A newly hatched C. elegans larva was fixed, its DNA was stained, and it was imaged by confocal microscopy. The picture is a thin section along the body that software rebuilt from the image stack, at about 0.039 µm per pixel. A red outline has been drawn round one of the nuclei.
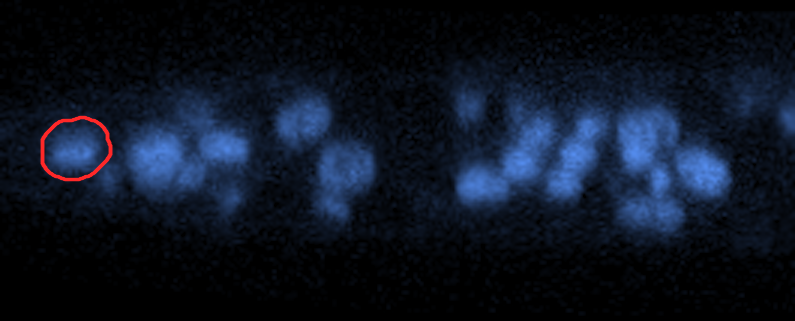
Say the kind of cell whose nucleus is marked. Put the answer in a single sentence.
It belongs to an arcade cell.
